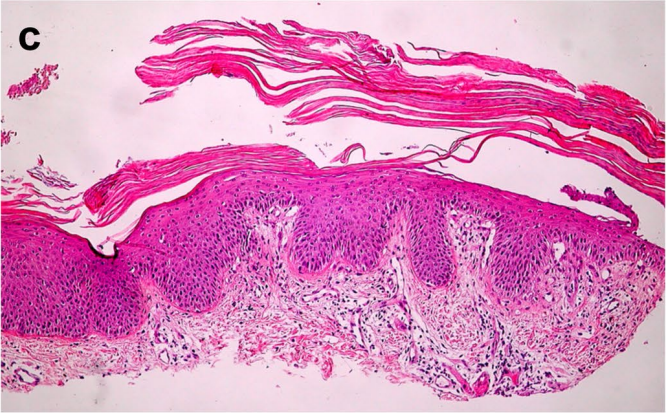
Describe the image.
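A section of skin shows a thickened epidermis with broad, elongated rete ridges extending into the dermis. Over the surface lies a markedly thick, laminated, bright pink horny layer, partly lifted off the epidermis in wavy sheets. The epidermal cells form a dense purple-staining band with many closely packed nuclei. The upper dermis beneath holds small vessels and scattered cells among loose pink connective tissue.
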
